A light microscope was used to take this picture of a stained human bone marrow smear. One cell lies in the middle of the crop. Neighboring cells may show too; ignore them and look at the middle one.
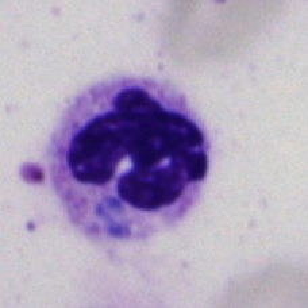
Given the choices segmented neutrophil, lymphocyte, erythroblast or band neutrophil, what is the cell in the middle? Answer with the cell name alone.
segmented neutrophil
